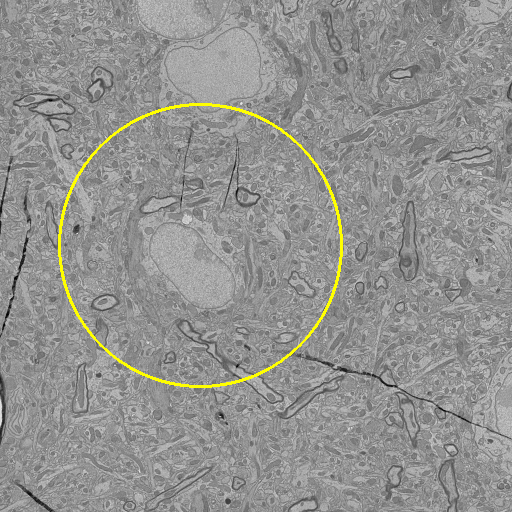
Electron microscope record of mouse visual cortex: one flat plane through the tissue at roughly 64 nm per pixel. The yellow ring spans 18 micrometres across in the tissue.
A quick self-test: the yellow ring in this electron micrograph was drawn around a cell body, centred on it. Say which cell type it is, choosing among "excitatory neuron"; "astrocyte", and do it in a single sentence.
The yellow-ringed cell is an astrocyte.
